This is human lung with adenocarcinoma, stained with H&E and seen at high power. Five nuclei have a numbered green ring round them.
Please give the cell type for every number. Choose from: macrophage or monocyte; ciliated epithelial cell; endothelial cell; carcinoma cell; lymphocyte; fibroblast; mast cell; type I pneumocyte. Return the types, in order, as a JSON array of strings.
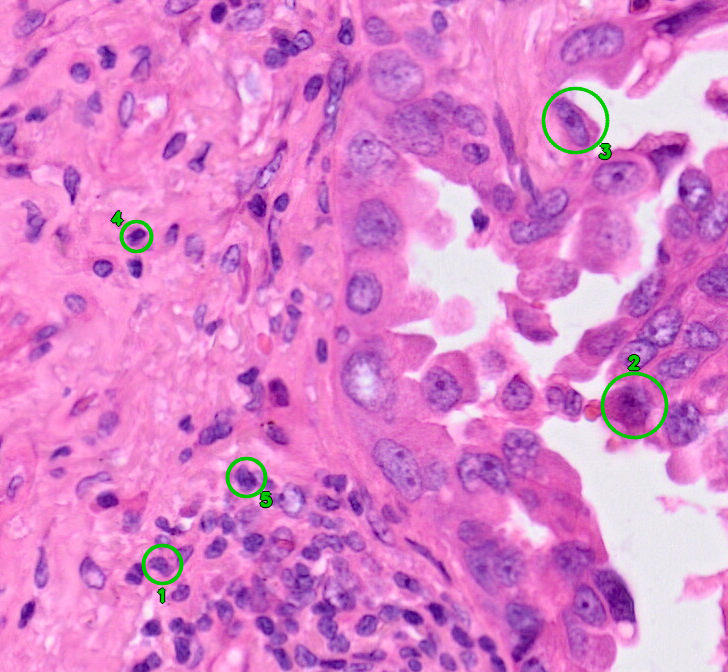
["lymphocyte", "carcinoma cell", "carcinoma cell", "lymphocyte", "lymphocyte"]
